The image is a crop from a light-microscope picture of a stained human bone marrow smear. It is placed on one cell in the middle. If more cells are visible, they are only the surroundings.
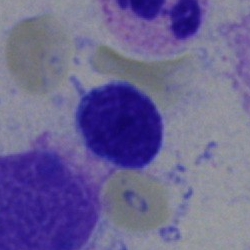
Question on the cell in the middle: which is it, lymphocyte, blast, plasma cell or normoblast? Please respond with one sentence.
Occupying the centre of the crop is a lymphocyte.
